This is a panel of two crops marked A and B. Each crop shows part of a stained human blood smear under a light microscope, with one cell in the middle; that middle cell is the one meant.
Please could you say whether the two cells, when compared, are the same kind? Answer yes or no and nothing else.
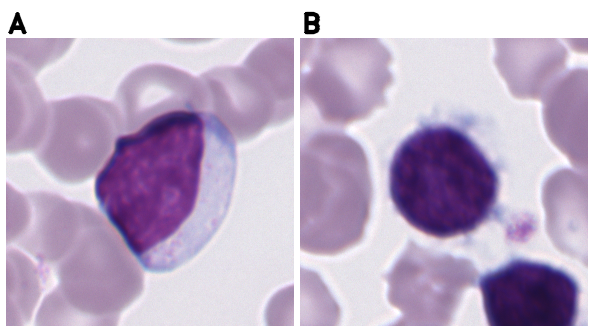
no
